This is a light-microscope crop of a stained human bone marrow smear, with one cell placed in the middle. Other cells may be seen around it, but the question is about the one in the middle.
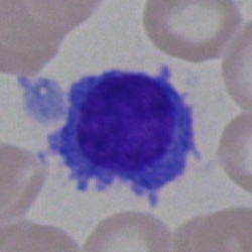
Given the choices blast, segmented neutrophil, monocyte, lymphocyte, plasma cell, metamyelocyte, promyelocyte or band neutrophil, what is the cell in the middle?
plasma cell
